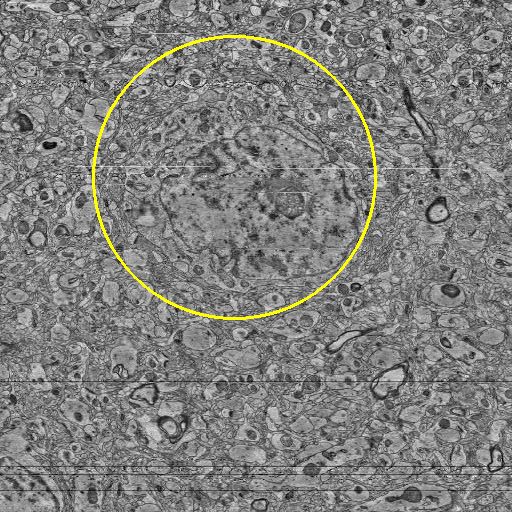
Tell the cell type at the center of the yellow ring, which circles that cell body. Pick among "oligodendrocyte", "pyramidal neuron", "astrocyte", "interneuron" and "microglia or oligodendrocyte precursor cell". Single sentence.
The ring is centered on the body of an interneuron.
